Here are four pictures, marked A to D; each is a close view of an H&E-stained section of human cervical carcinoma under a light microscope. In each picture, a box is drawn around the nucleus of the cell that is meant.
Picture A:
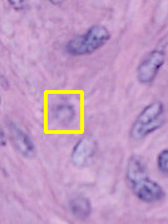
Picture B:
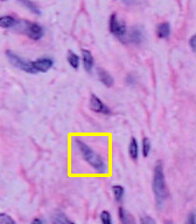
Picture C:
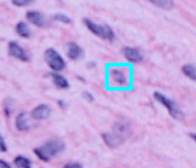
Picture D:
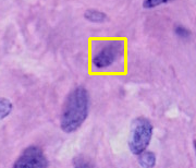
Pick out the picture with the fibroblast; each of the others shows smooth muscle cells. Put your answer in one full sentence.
The cell in picture D is the fibroblast.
